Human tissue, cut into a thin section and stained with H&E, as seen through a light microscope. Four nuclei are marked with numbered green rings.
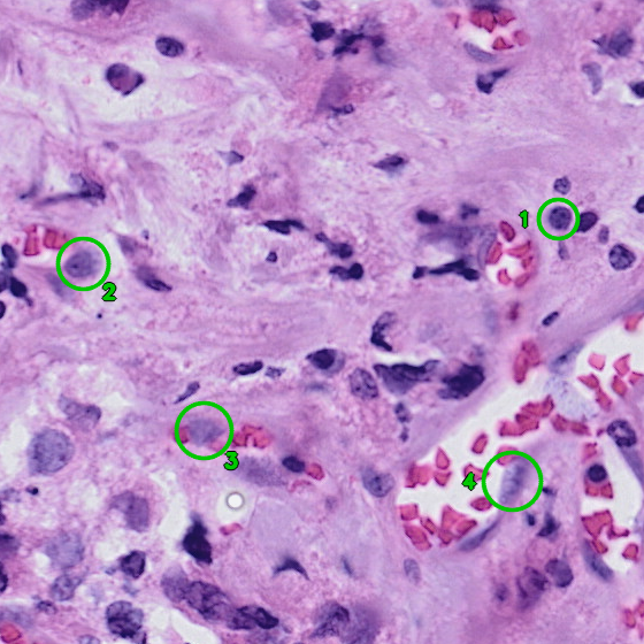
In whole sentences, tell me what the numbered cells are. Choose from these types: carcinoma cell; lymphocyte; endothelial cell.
Cell 1 is a lymphocyte. Cells 2, 3 and 4 are endothelial cells.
